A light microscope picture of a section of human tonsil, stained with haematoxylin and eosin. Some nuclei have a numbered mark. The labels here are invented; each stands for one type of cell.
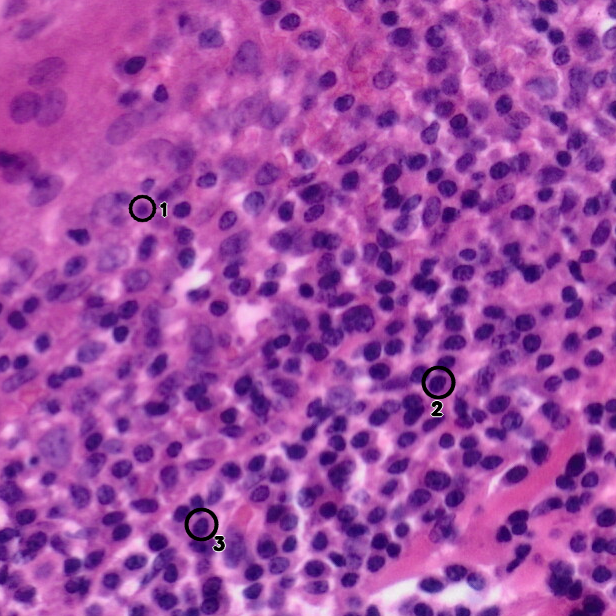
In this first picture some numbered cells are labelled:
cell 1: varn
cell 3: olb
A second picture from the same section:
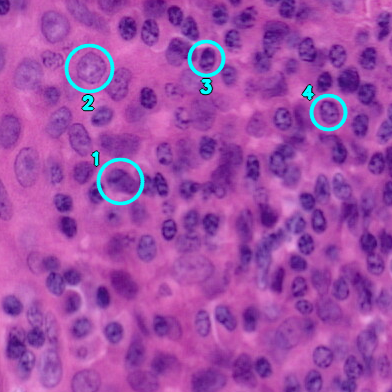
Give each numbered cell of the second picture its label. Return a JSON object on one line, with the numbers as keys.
{"1": "varn", "2": "varn", "3": "olb", "4": "olb"}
